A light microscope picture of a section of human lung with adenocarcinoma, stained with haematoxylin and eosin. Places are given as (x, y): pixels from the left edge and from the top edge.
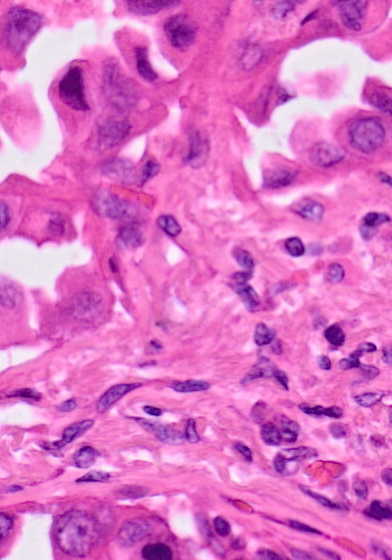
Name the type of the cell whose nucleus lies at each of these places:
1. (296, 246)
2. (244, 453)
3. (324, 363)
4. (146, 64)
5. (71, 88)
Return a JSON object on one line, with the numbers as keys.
{"1": "lymphocyte", "2": "plasma cell", "3": "lymphocyte", "4": "carcinoma cell", "5": "carcinoma cell"}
